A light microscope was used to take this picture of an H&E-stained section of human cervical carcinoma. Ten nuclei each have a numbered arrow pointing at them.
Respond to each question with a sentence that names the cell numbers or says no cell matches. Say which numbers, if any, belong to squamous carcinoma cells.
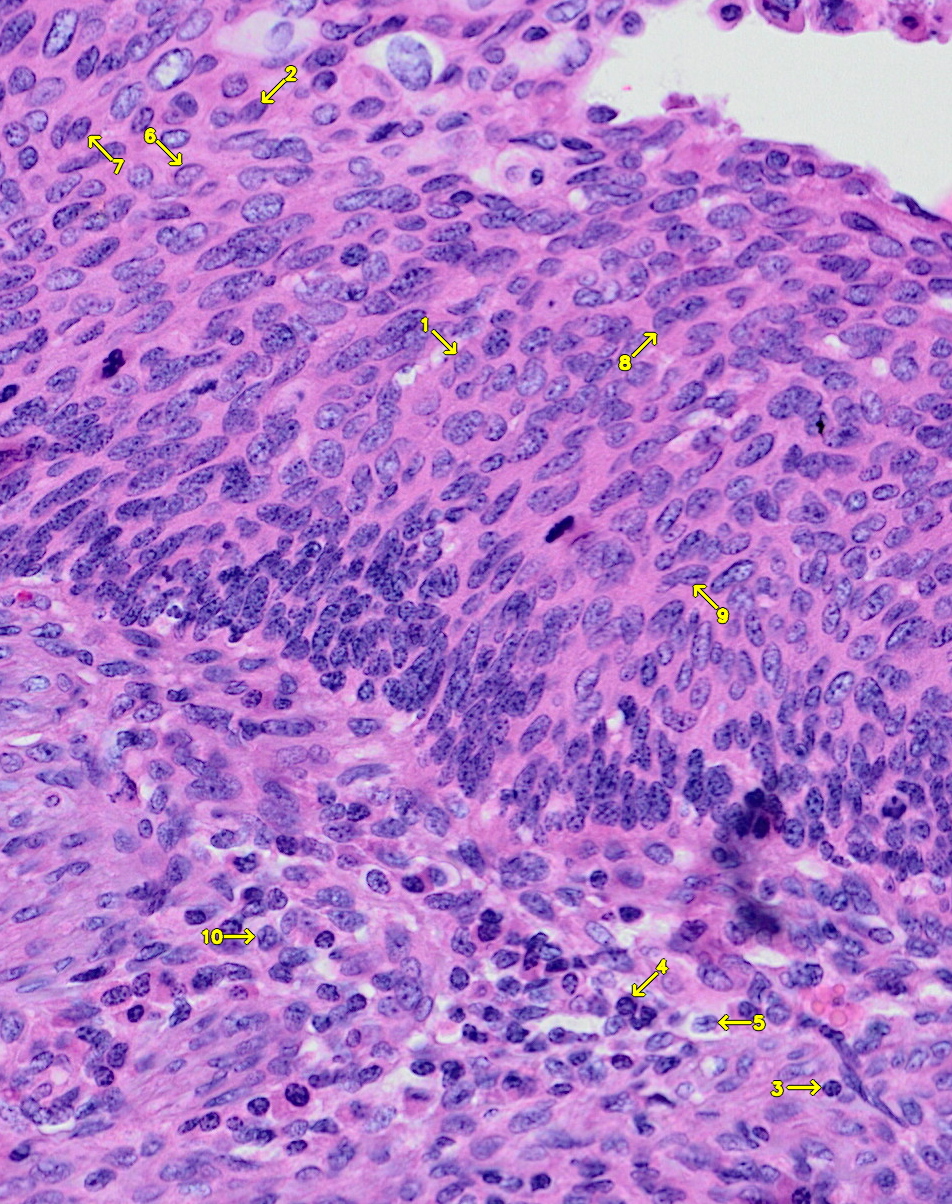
The cells with numbers 1, 2, 6, 7, 8 and 9 are squamous carcinoma cells by type.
